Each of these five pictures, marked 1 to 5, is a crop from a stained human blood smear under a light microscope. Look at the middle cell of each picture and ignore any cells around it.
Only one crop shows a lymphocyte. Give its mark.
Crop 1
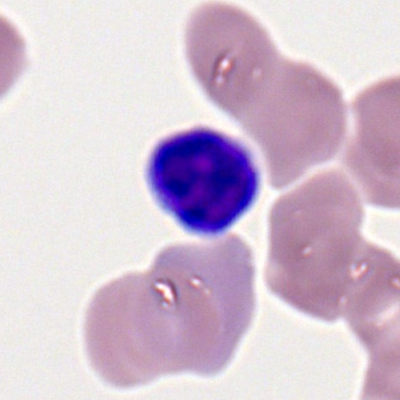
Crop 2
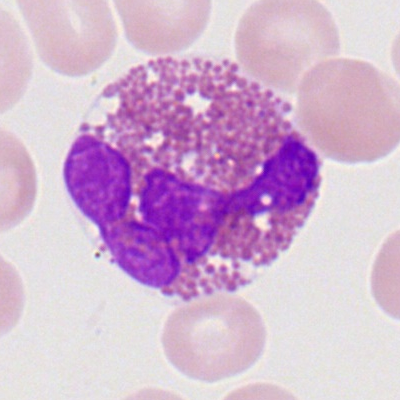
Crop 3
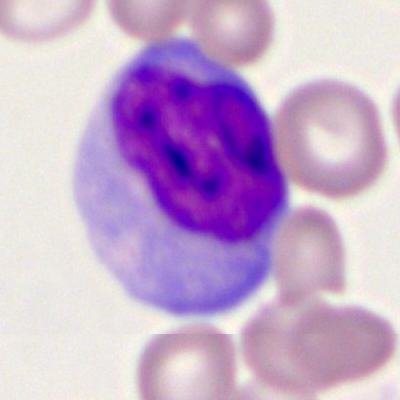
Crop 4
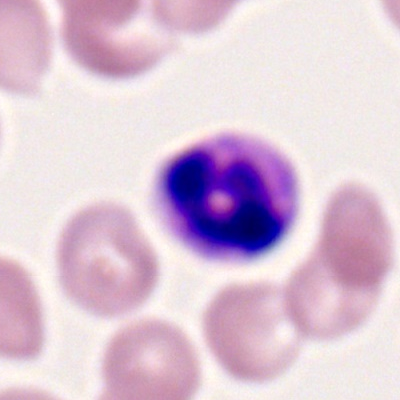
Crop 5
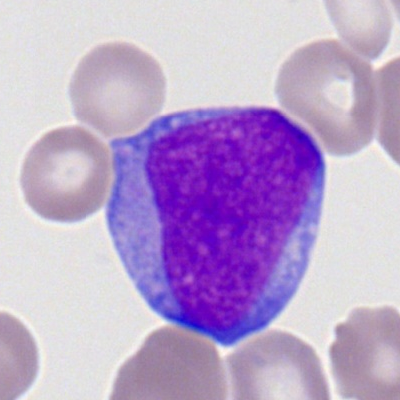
1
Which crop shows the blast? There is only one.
5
